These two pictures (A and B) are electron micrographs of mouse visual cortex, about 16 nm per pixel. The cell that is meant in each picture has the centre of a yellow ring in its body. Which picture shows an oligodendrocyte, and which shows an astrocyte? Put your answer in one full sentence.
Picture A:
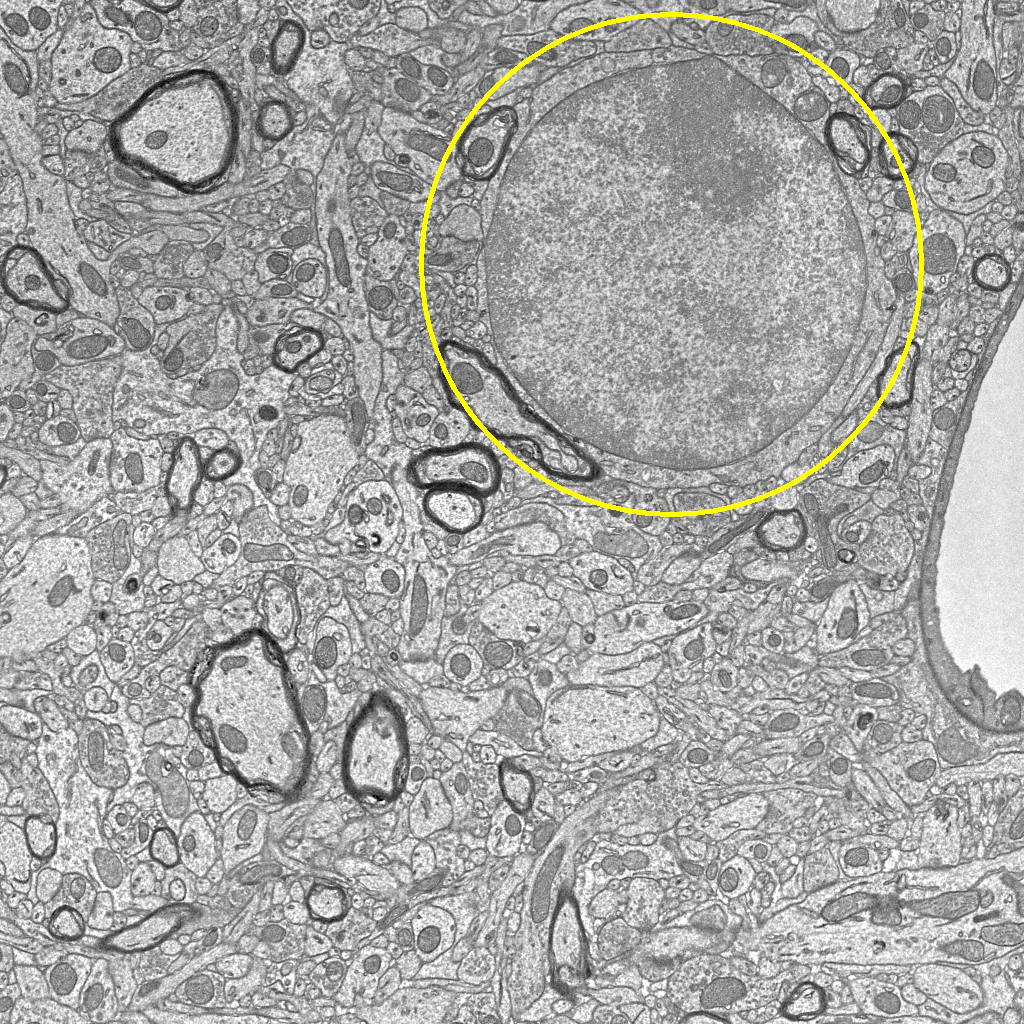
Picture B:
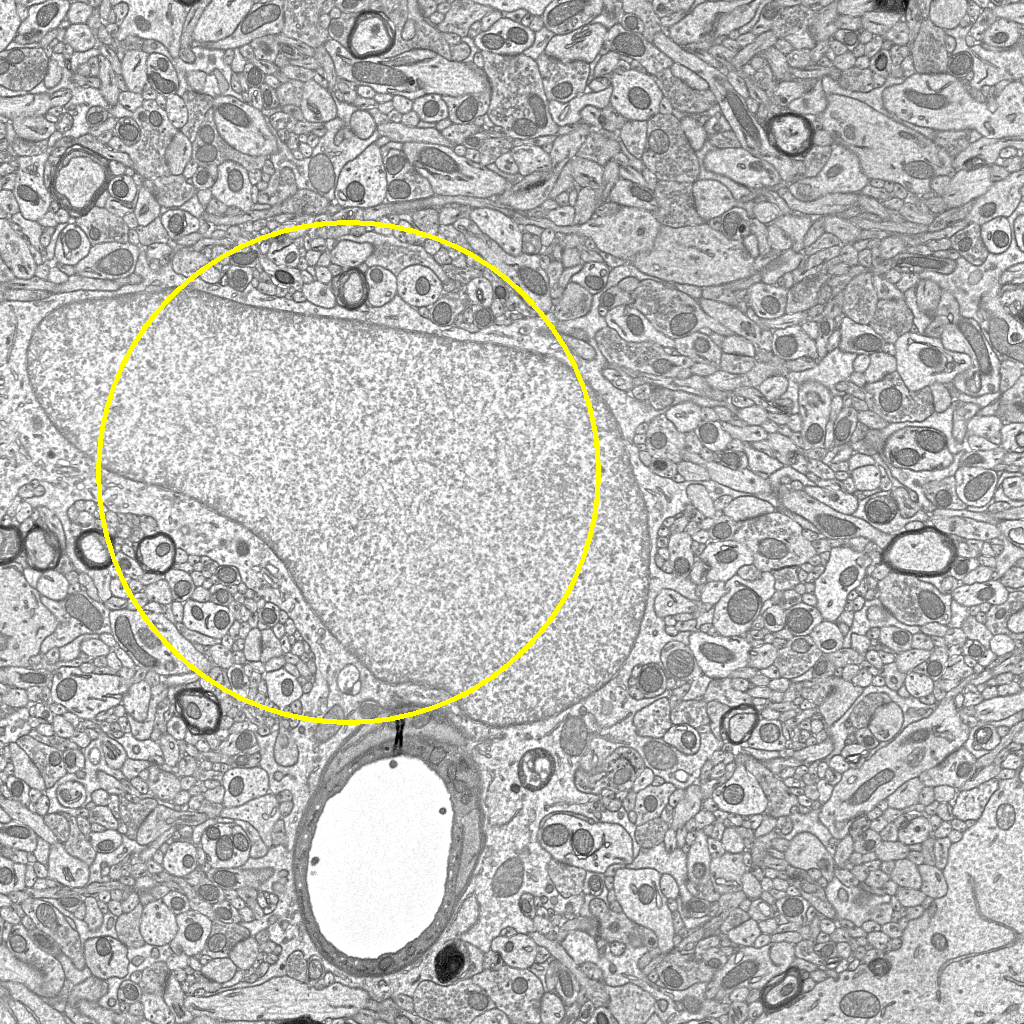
Picture B shows an astrocyte, while picture A shows an oligodendrocyte.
